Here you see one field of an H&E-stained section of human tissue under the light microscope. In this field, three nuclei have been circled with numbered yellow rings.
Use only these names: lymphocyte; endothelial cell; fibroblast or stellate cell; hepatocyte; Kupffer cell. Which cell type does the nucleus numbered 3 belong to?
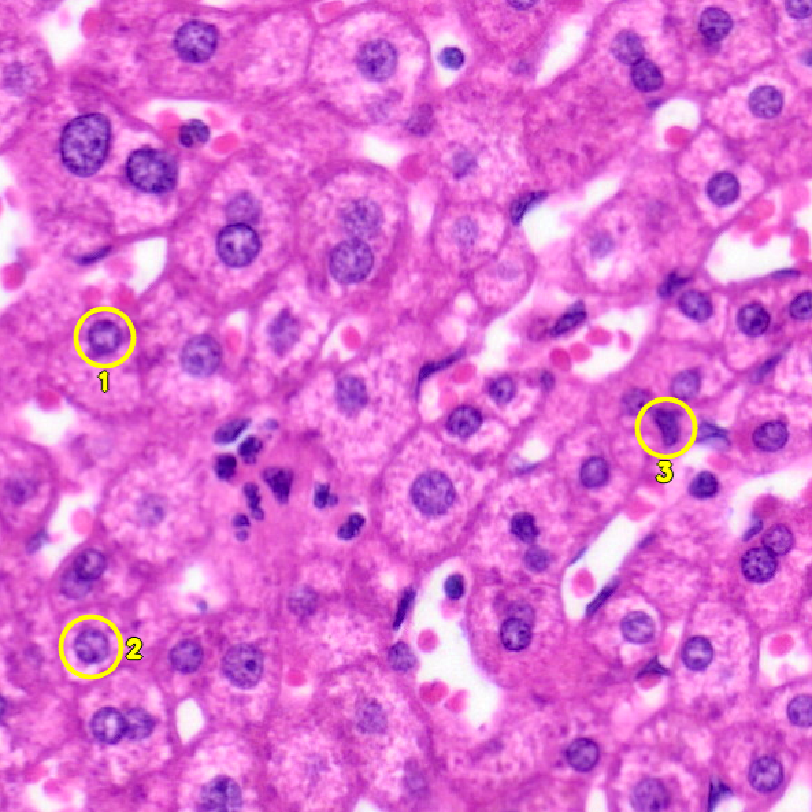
fibroblast or stellate cell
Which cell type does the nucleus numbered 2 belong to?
hepatocyte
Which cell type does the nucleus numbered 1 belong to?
hepatocyte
